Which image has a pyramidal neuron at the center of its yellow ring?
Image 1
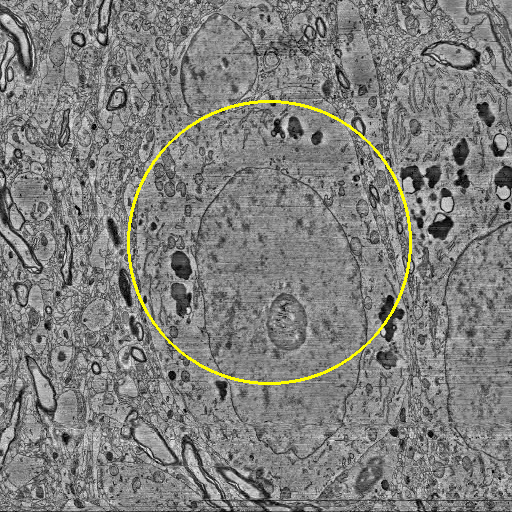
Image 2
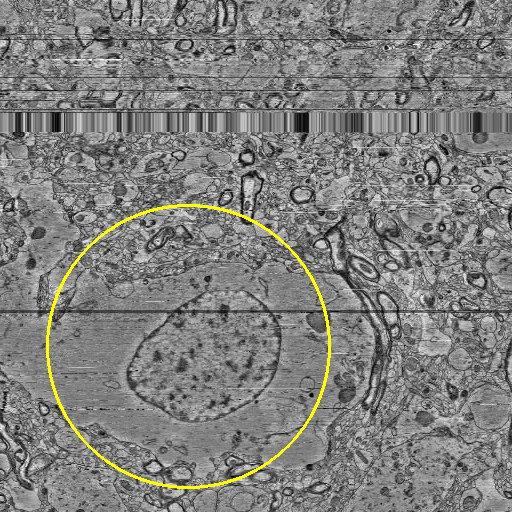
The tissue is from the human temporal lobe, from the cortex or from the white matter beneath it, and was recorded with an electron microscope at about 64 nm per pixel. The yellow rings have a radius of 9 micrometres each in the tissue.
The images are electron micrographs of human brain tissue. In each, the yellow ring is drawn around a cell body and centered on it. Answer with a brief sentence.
It is at the center of the ring in Image 1.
